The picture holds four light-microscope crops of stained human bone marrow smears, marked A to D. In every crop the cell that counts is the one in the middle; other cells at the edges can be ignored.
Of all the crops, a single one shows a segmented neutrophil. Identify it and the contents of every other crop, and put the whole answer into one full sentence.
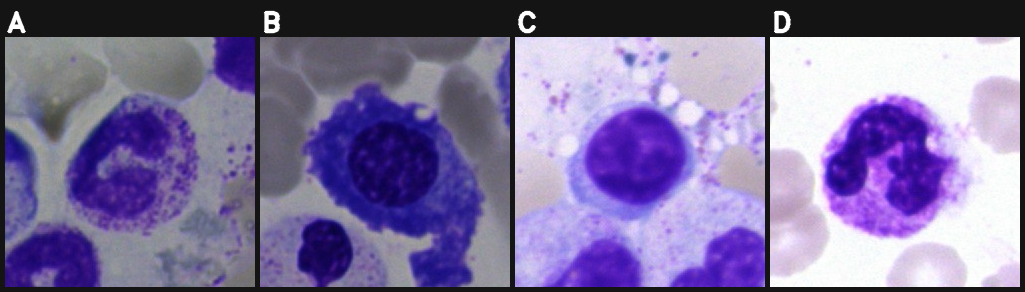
Summary: crop D shows a segmented neutrophil, while crop A is a band neutrophil, crop B is a plasma cell and crop C is a lymphocyte.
